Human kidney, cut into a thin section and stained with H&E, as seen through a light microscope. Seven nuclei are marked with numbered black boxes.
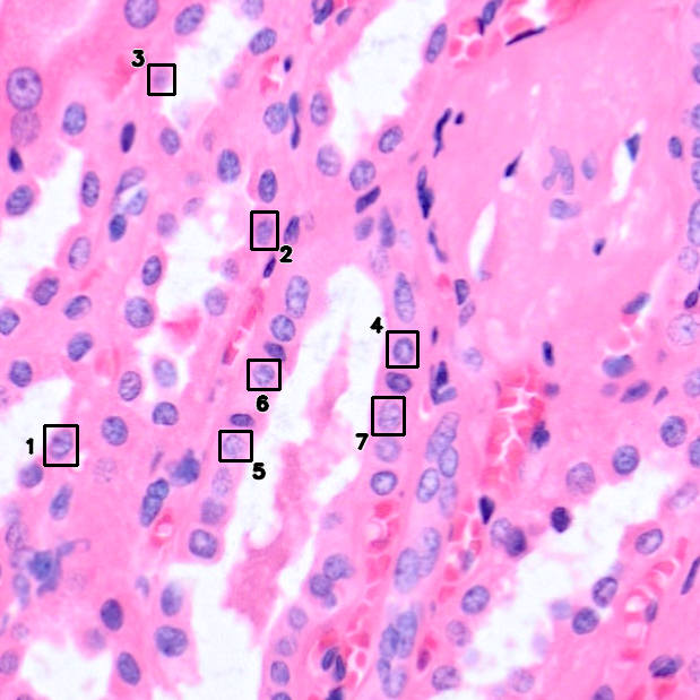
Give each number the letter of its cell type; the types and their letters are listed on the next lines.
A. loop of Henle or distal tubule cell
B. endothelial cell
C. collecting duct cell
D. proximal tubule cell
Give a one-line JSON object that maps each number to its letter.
{"1": "A", "2": "A", "3": "A", "4": "C", "5": "C", "6": "C", "7": "C"}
